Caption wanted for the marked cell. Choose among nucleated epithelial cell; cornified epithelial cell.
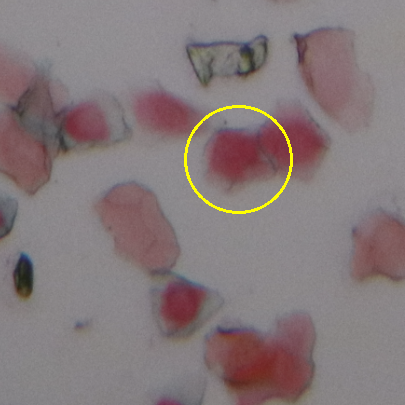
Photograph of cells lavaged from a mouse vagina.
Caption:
Ringed in yellow is a nucleated epithelial cell.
